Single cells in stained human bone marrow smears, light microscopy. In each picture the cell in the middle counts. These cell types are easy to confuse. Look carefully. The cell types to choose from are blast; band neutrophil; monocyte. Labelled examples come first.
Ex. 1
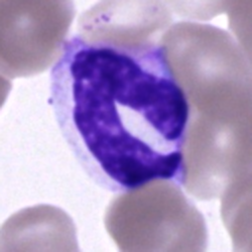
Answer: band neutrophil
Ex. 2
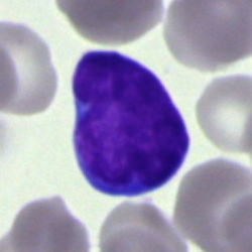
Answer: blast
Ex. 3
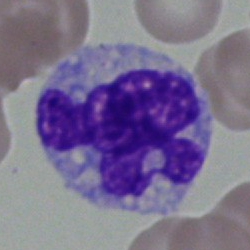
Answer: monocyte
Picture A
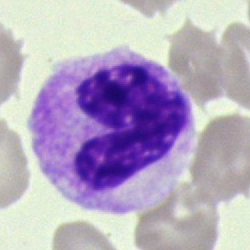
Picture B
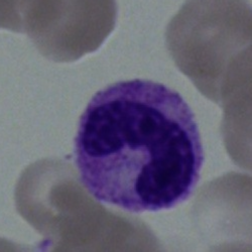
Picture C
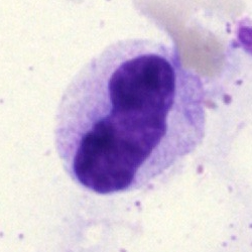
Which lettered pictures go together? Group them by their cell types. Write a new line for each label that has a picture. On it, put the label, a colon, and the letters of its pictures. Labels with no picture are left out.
band neutrophil: A, B, C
